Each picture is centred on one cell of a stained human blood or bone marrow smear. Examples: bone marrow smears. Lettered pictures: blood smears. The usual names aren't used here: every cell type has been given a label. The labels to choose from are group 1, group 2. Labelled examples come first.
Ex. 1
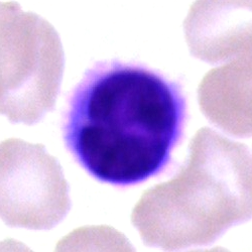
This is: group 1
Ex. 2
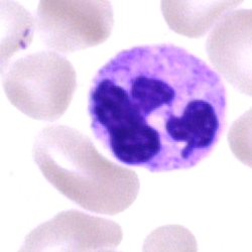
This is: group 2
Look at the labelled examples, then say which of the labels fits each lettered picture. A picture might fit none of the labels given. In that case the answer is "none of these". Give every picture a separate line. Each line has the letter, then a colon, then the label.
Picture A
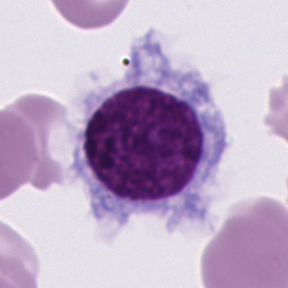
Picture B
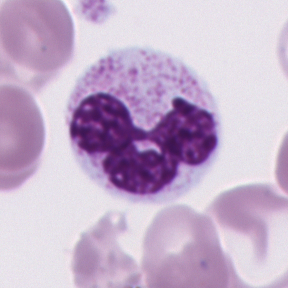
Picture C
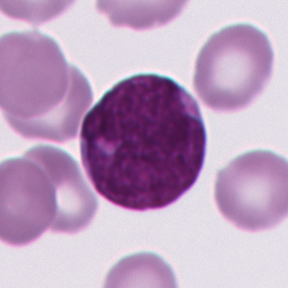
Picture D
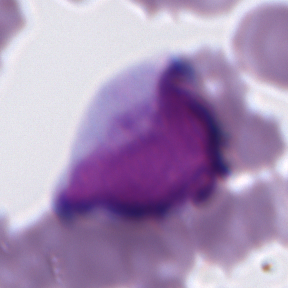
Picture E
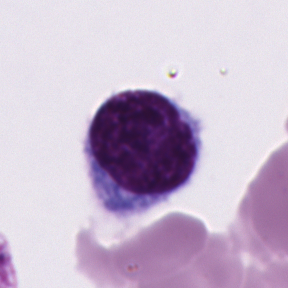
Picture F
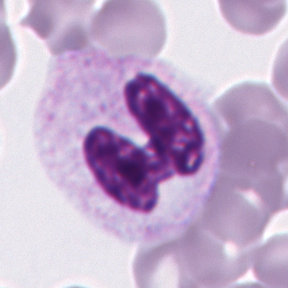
A: group 1
B: group 2
C: none of these
D: none of these
E: group 1
F: group 2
